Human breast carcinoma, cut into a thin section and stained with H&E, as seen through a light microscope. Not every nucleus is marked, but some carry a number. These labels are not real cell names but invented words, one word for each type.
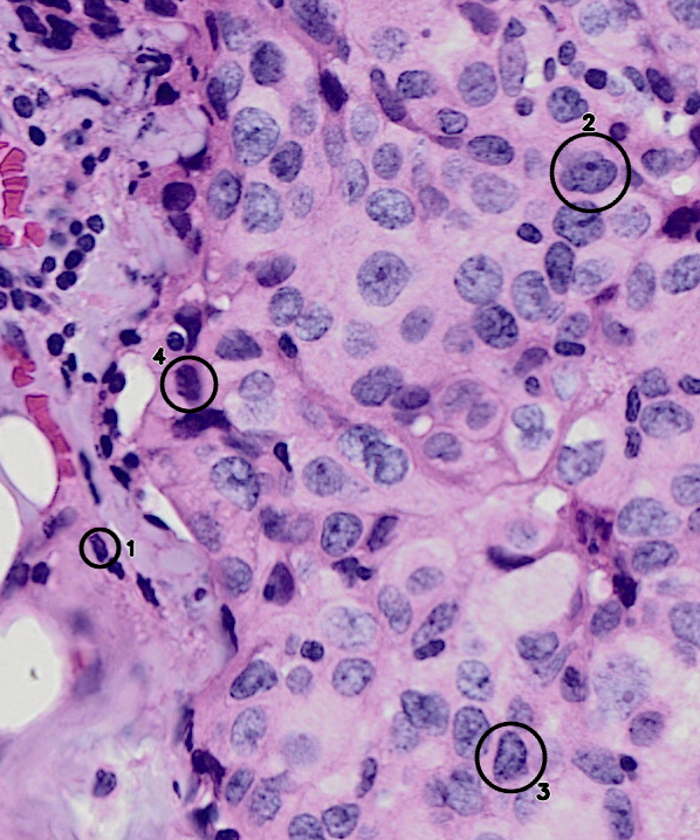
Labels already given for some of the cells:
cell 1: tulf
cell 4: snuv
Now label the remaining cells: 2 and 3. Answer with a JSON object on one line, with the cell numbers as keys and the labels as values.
{"2": "snuv", "3": "snuv"}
